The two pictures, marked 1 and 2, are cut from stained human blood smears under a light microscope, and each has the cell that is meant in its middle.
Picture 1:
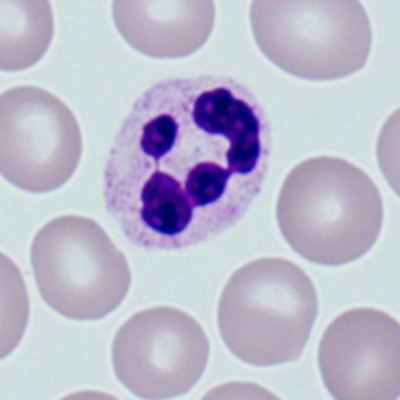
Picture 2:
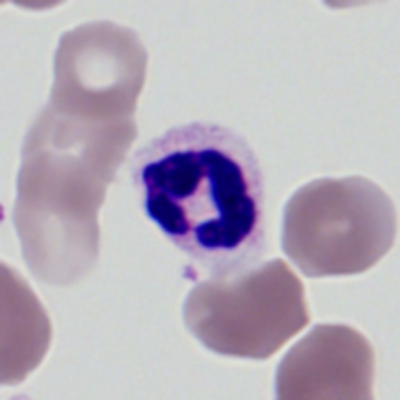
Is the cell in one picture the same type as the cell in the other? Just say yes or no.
yes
